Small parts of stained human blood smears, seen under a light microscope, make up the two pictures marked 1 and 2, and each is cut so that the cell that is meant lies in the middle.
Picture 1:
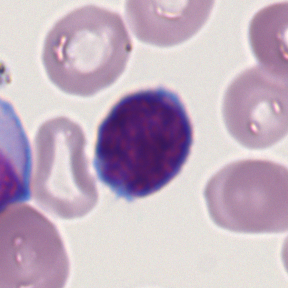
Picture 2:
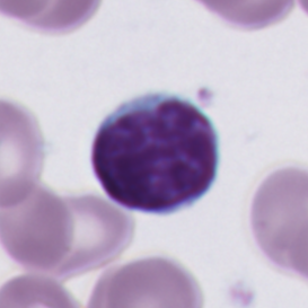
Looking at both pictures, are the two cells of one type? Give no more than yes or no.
yes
